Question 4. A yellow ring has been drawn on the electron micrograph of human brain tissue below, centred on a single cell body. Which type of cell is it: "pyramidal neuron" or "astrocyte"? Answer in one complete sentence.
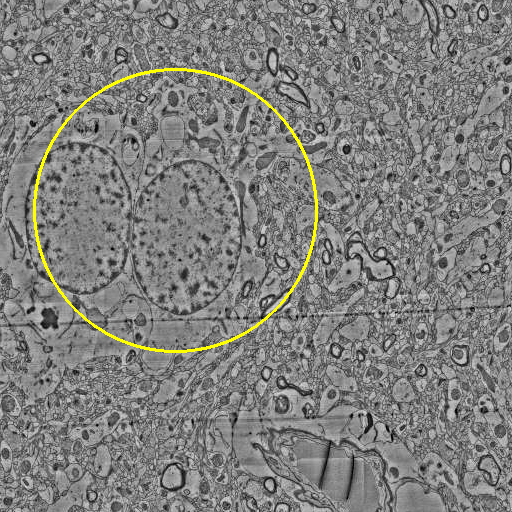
This cell body belongs to an astrocyte.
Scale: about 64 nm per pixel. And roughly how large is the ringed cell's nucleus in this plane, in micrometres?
The nucleus appears roughly 10 by 7 micrometres in this plane.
